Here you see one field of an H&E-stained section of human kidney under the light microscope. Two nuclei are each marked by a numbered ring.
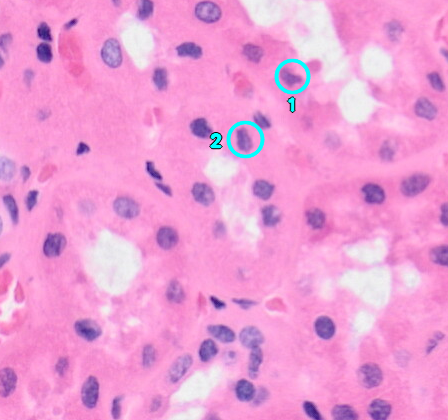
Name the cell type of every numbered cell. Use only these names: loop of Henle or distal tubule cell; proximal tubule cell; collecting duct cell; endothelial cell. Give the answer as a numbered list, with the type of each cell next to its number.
1. proximal tubule cell
2. loop of Henle or distal tubule cell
